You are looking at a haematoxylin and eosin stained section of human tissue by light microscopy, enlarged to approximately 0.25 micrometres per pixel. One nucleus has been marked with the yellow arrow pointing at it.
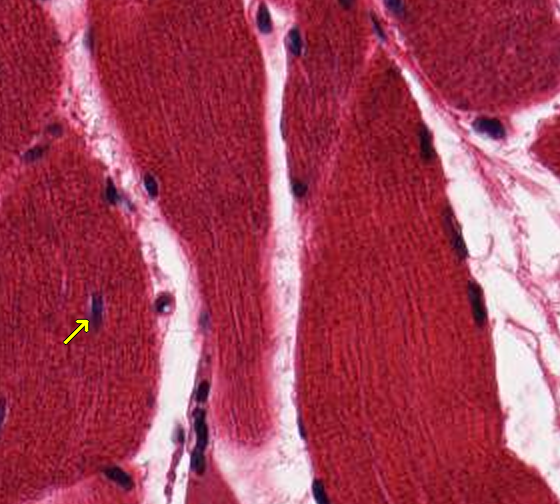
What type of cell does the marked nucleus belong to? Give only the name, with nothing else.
skeletal muscle fibre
